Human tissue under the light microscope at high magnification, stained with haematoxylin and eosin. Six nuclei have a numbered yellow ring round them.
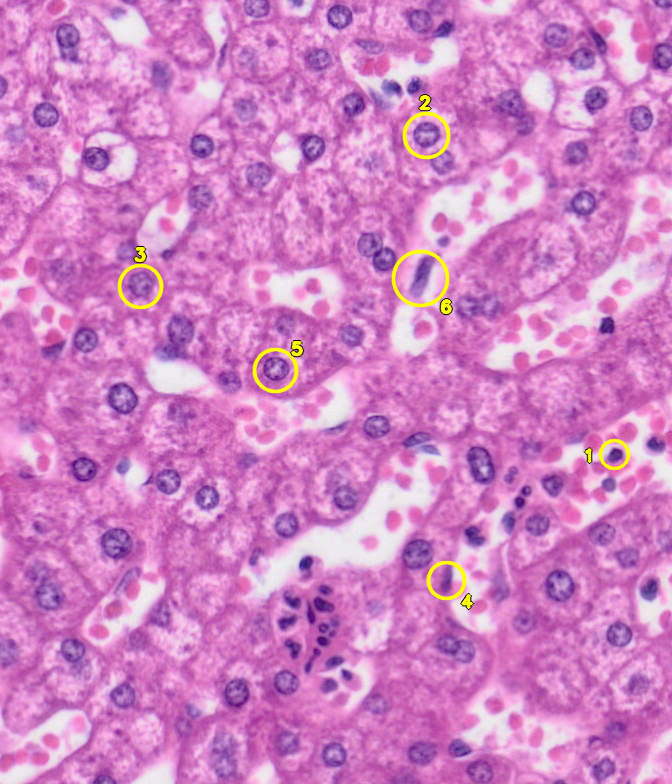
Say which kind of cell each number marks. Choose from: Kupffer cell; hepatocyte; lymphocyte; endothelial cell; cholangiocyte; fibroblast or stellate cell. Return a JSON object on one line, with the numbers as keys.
{"1": "lymphocyte", "2": "hepatocyte", "3": "hepatocyte", "4": "endothelial cell", "5": "hepatocyte", "6": "Kupffer cell"}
